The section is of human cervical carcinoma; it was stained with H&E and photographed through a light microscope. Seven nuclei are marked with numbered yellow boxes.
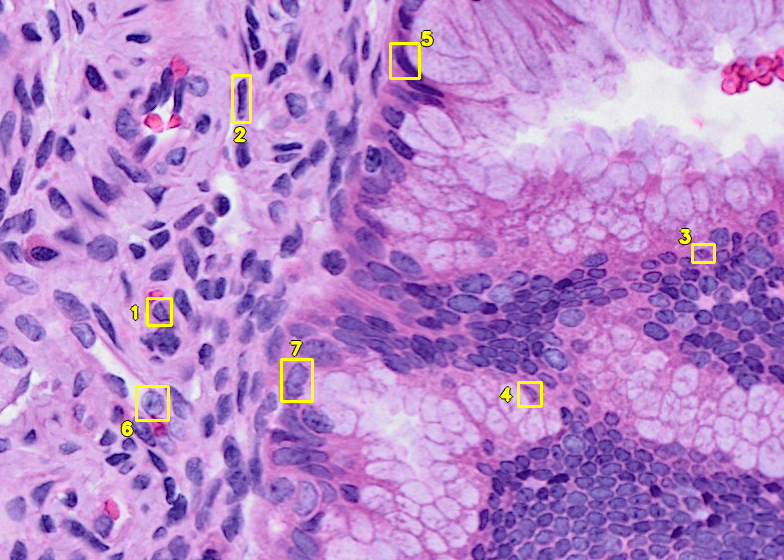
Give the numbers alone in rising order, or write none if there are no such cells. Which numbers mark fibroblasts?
2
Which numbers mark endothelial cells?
1, 6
